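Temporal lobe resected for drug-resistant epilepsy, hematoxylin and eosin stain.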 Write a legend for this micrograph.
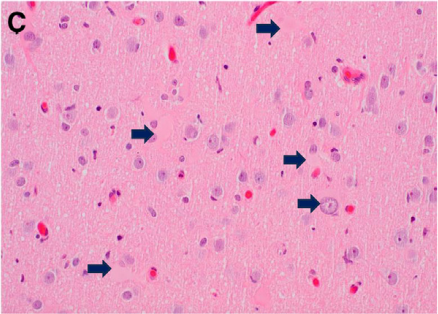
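This is cerebral cortex with scattered large, rounded cells set in a pink fibrillary background. Smaller dark nuclei and bright red blood cells in small vessels lie between them.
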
